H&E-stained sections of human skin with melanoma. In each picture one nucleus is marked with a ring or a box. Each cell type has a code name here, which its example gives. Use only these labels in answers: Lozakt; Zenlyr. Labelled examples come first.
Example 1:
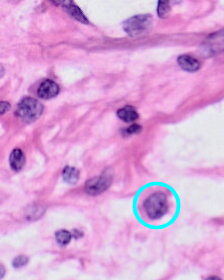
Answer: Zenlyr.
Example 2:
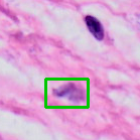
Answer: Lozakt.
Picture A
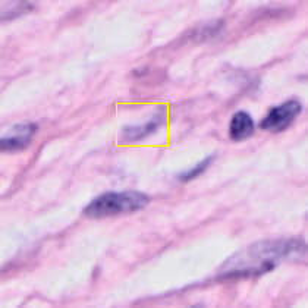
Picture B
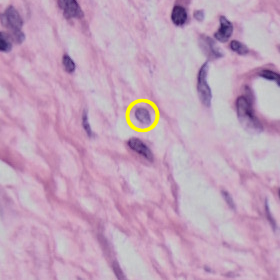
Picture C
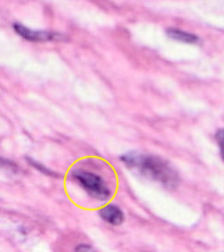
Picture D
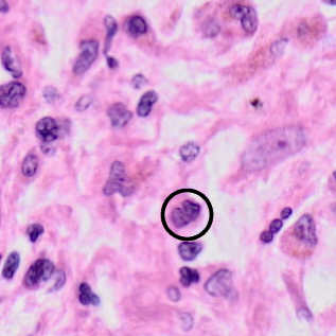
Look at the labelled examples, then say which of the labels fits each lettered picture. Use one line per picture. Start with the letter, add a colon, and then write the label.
A: Lozakt.
B: Zenlyr.
C: Zenlyr.
D: Zenlyr.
